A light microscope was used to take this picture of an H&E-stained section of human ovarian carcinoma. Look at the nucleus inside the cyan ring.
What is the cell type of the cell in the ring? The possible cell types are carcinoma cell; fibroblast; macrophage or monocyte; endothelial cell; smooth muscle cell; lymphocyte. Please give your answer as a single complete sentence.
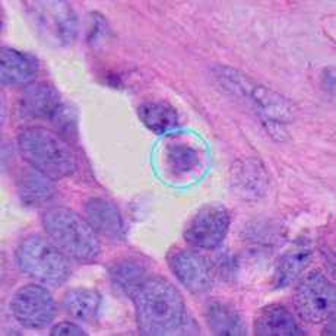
Considered by cell type, the cell in the ring is a macrophage or monocyte.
